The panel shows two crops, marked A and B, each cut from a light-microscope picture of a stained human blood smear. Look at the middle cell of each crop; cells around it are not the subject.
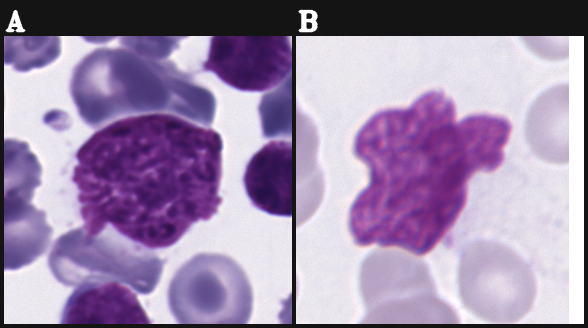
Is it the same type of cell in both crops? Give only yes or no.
yes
